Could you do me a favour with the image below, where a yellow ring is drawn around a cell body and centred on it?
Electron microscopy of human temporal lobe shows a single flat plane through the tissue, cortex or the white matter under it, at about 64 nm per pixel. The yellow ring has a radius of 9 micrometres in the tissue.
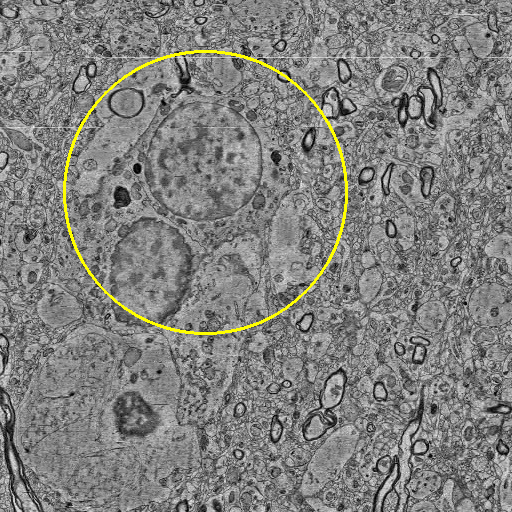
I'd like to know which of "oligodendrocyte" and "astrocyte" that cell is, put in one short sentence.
The cell at the ring's centre is an oligodendrocyte.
